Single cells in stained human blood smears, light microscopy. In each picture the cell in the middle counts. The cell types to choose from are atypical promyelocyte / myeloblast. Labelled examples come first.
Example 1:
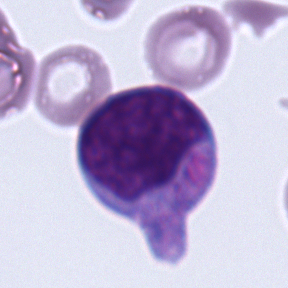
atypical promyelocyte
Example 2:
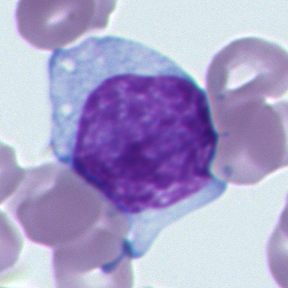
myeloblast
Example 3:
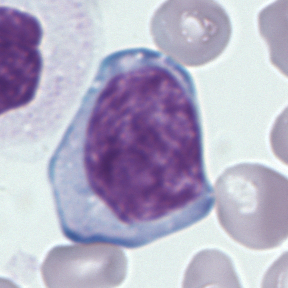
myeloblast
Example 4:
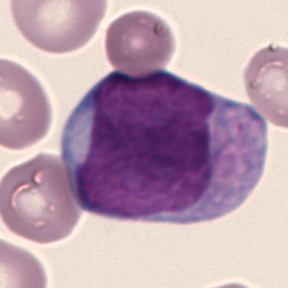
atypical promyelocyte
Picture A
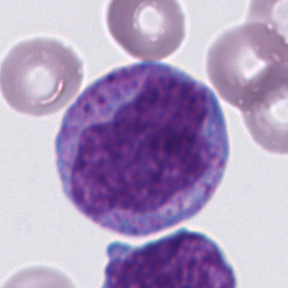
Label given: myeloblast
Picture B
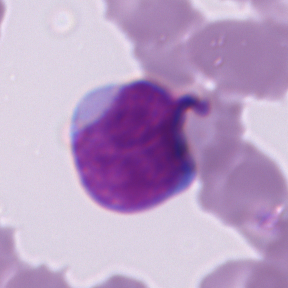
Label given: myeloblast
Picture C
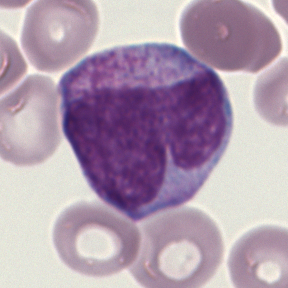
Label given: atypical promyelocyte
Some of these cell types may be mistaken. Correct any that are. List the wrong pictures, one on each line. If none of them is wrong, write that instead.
A is labelled myeloblast; correct label: atypical promyelocyte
